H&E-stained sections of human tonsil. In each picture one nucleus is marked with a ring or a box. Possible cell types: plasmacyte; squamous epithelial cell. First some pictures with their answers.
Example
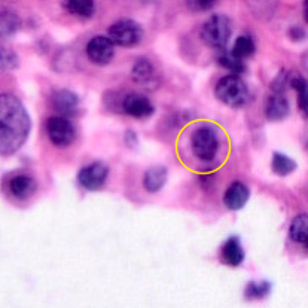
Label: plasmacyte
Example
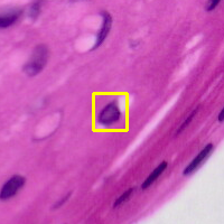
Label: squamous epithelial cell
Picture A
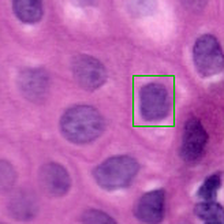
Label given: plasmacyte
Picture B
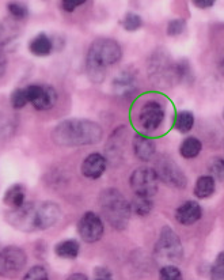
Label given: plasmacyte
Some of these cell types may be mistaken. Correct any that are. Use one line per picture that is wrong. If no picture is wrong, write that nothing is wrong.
A: squamous epithelial cell, not plasmacyte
